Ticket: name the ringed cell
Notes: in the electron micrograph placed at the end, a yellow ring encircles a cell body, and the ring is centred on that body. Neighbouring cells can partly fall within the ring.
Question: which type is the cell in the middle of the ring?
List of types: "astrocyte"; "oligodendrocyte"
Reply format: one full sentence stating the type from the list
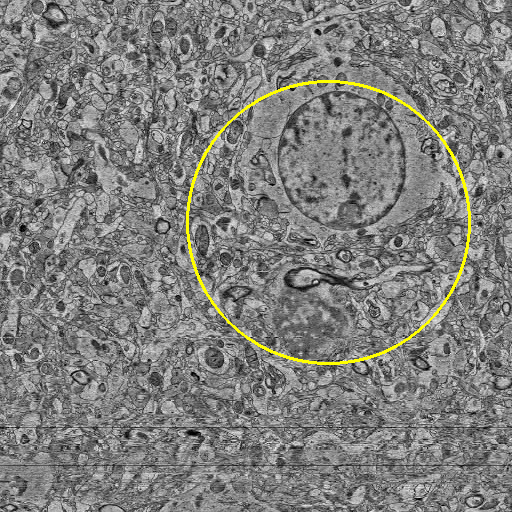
The cell sitting at the centre of the yellow ring is an astrocyte.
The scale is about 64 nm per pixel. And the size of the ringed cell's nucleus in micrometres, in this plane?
In this plane, the nucleus measures approximately 9 micrometres across.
